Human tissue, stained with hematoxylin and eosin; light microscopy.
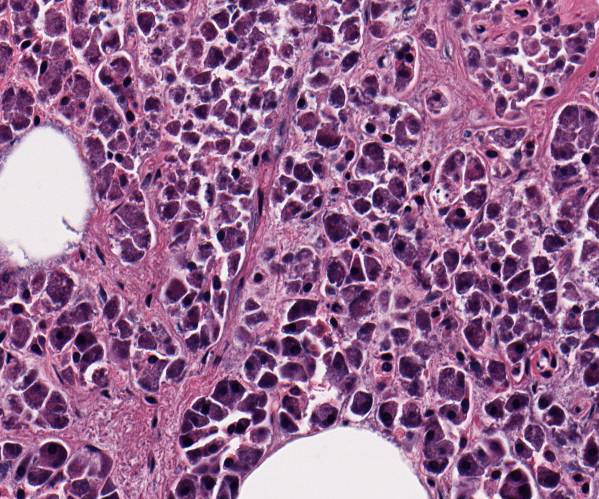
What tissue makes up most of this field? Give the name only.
exocrine pancreas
